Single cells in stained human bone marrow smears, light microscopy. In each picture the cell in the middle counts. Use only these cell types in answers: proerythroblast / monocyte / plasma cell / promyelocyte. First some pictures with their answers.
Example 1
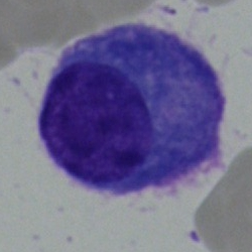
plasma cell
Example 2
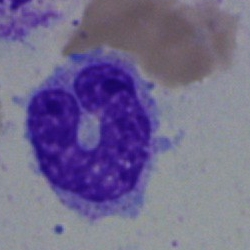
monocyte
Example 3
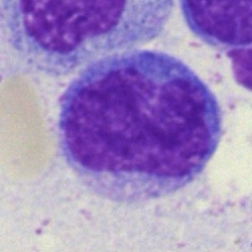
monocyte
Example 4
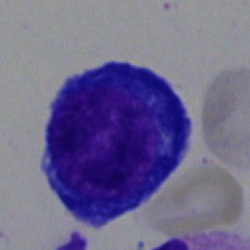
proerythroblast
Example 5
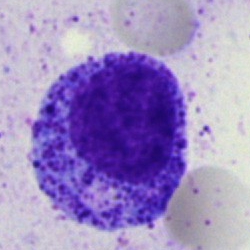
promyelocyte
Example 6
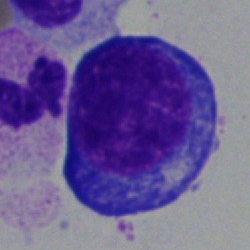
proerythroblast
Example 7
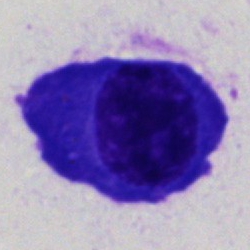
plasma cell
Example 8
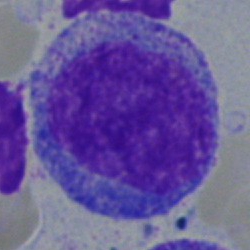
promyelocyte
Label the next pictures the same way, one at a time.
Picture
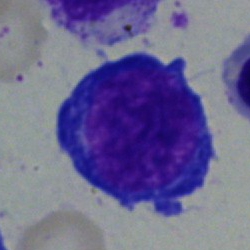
proerythroblast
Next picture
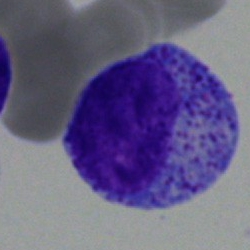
promyelocyte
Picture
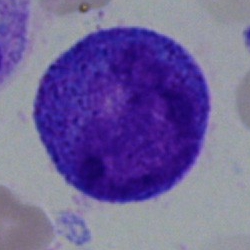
promyelocyte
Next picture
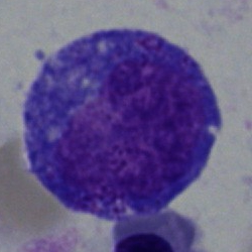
proerythroblast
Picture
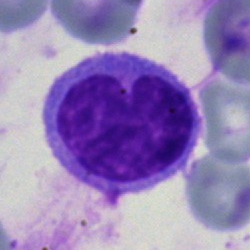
monocyte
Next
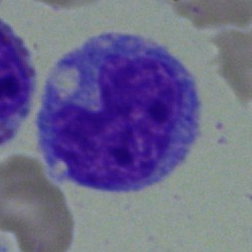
monocyte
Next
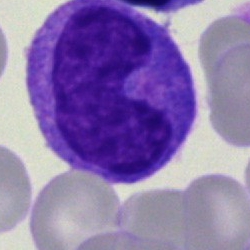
monocyte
